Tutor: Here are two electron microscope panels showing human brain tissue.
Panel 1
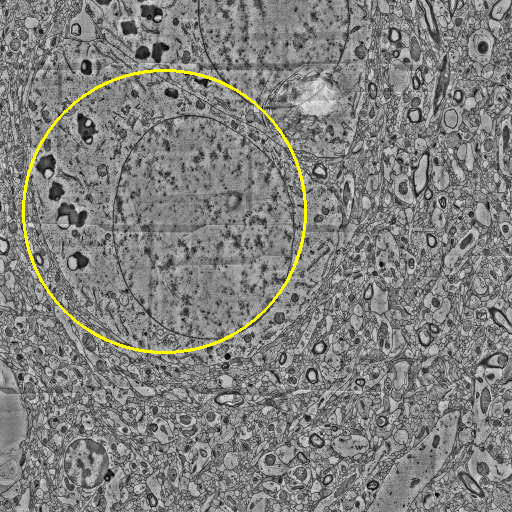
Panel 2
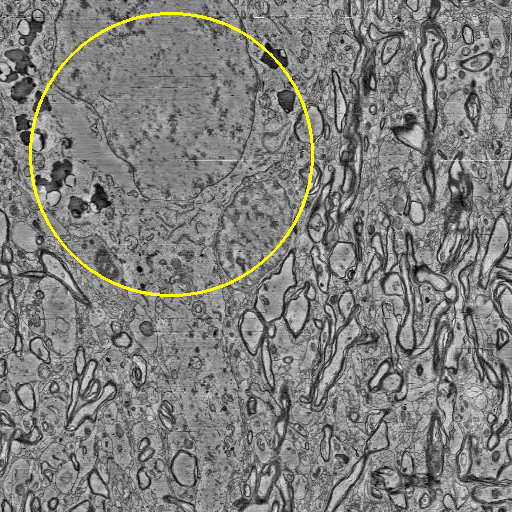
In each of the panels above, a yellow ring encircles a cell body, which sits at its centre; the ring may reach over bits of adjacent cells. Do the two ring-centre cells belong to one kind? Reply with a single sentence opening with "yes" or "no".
Yes, the two cells sitting at the ring centres in the panels belong to one kind.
